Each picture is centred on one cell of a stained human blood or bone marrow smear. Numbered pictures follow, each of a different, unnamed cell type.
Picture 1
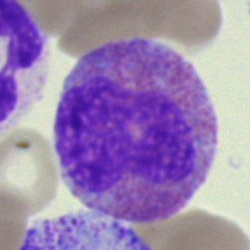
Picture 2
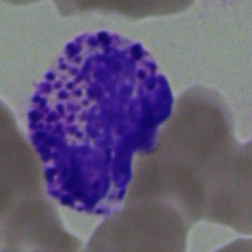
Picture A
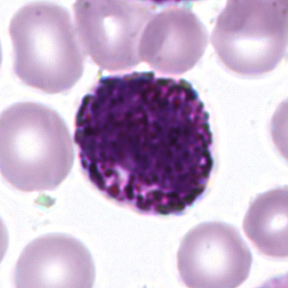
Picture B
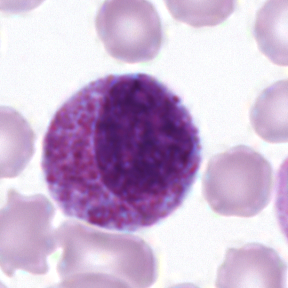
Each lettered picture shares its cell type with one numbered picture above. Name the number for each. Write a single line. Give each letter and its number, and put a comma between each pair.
A 2, B 1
